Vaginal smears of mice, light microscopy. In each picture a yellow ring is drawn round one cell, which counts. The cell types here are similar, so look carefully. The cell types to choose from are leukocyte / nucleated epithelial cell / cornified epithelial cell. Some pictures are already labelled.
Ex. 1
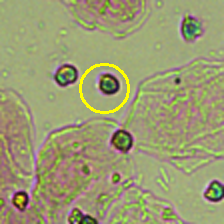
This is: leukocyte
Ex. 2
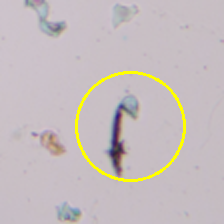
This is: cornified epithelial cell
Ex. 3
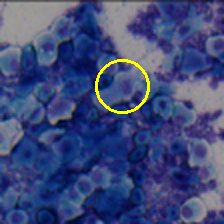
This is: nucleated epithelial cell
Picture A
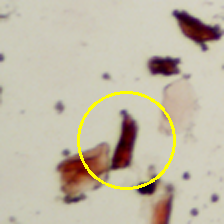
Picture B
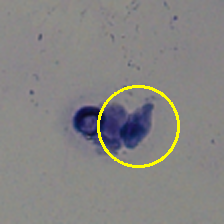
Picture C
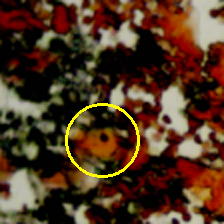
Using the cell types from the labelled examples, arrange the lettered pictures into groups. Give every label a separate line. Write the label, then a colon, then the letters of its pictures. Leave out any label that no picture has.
nucleated epithelial cell: B, C
cornified epithelial cell: A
